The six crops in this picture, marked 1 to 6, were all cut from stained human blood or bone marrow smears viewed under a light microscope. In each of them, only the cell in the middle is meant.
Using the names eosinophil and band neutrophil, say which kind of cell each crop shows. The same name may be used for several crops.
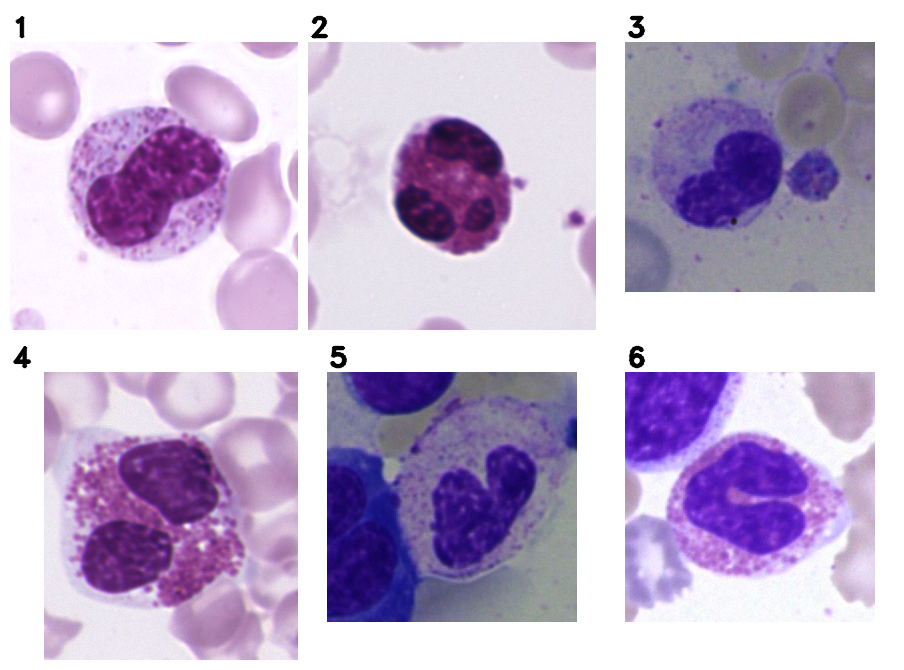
1: band neutrophil
2: eosinophil
3: band neutrophil
4: eosinophil
5: band neutrophil
6: eosinophil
